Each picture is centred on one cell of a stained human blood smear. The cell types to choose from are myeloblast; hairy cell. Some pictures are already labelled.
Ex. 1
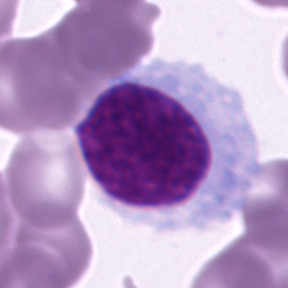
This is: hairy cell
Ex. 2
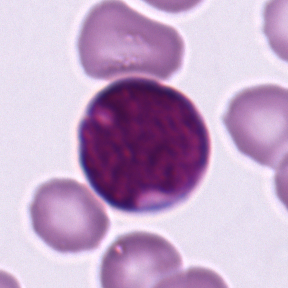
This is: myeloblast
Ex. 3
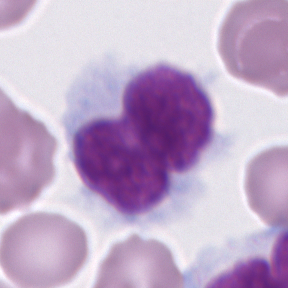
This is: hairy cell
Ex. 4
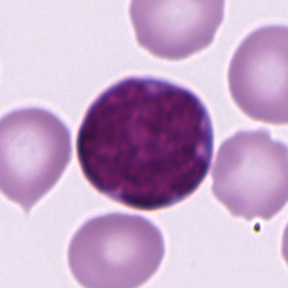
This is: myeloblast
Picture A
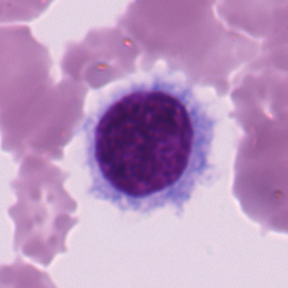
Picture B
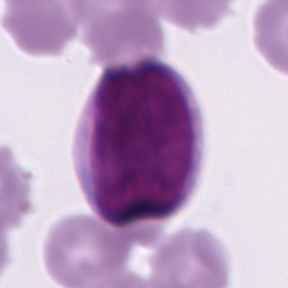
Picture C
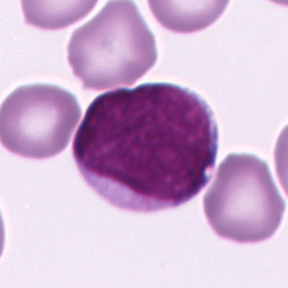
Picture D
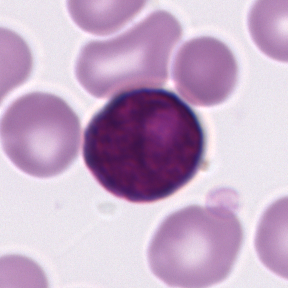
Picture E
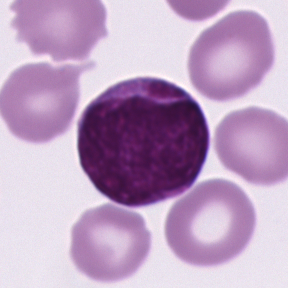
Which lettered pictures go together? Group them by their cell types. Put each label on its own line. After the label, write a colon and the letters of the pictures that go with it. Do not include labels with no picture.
myeloblast: B, C, D, E
hairy cell: A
